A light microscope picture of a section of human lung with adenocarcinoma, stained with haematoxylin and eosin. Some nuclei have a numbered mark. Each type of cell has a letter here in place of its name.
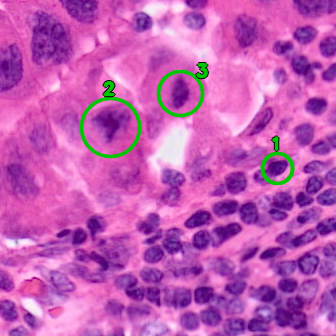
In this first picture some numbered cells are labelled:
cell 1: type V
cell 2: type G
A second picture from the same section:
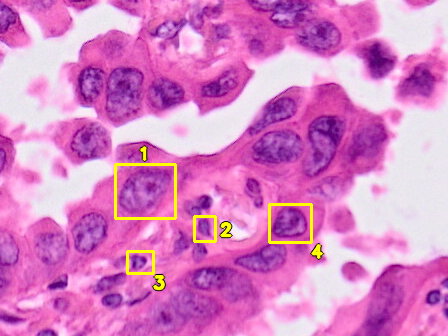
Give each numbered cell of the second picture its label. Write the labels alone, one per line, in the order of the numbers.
type G
type V
type V
type G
